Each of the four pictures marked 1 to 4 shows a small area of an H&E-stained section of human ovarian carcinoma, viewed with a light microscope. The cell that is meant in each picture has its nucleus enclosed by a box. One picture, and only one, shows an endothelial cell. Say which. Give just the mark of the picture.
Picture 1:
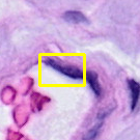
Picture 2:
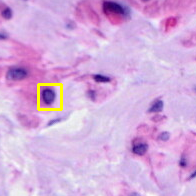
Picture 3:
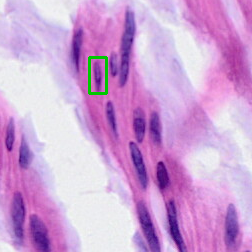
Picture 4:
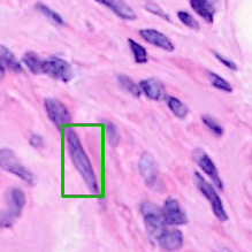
1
